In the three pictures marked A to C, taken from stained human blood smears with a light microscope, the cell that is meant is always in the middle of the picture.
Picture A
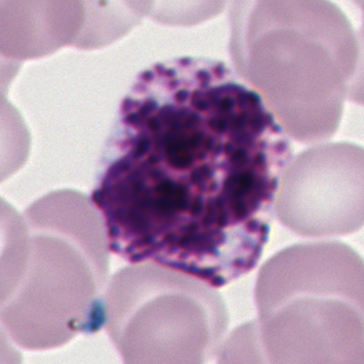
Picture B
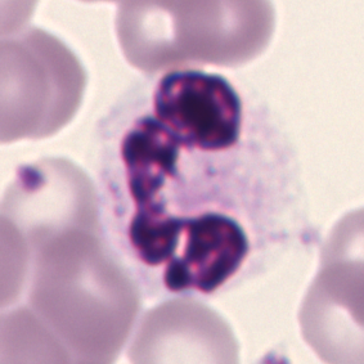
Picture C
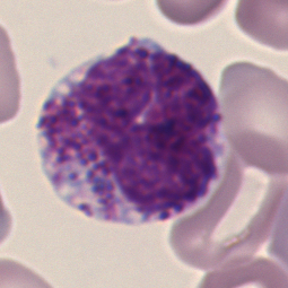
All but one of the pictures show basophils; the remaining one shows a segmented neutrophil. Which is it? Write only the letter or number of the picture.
B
